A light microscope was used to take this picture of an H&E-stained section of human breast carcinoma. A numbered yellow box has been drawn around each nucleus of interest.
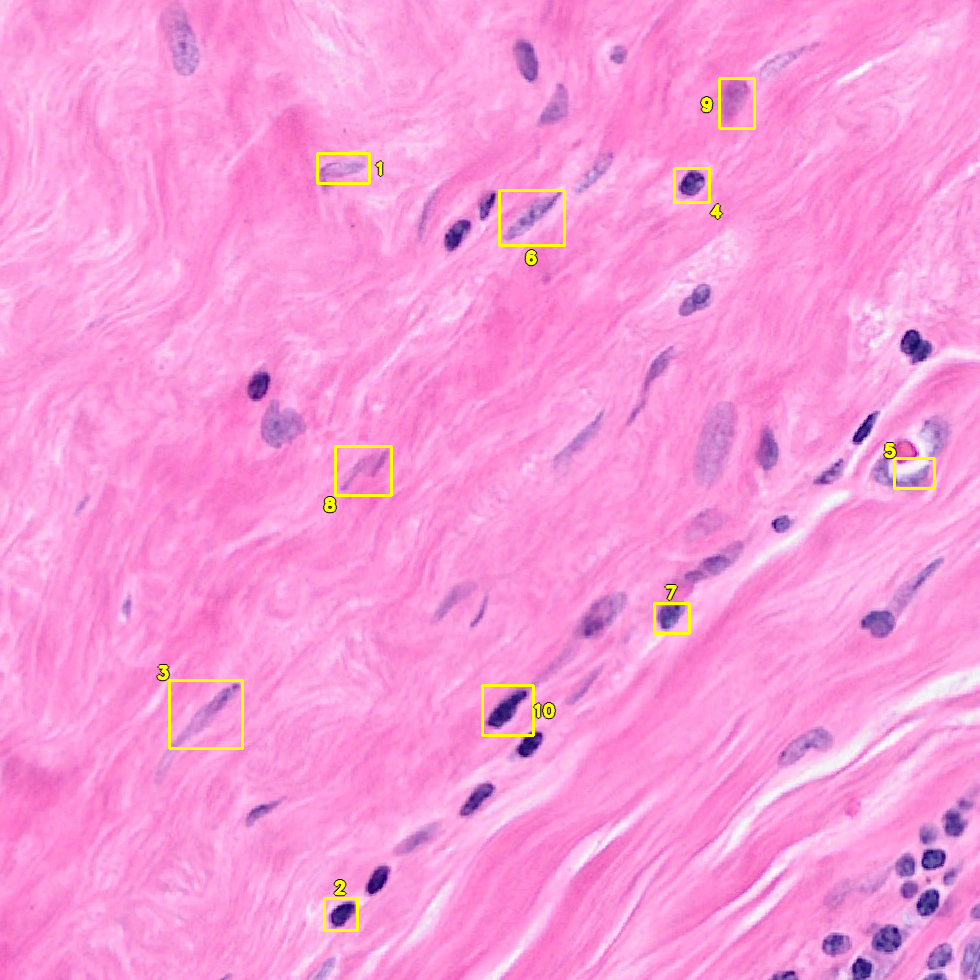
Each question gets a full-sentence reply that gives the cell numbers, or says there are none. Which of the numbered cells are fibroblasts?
Identified as fibroblasts are the cells numbered 1, 3, 6, 8 and 9.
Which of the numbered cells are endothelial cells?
Among the numbered nuclei, only the one labelled 5 belongs to an endothelial cell.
